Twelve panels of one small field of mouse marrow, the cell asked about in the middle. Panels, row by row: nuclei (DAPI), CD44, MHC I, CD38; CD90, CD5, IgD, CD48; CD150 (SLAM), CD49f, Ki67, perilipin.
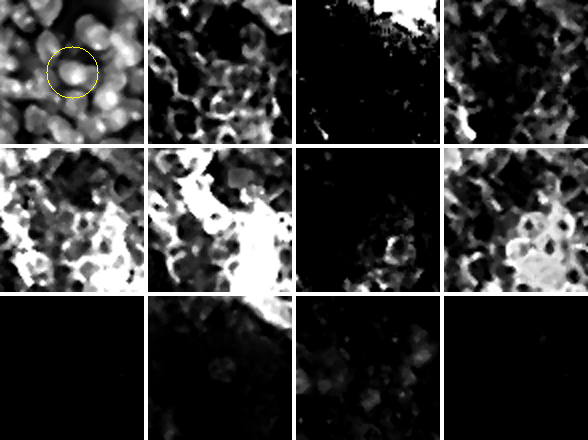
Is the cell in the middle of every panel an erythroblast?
No, it is a T cell.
